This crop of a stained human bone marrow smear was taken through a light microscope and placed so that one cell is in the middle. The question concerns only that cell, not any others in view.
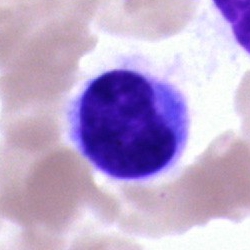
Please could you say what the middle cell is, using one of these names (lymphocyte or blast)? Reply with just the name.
lymphocyte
